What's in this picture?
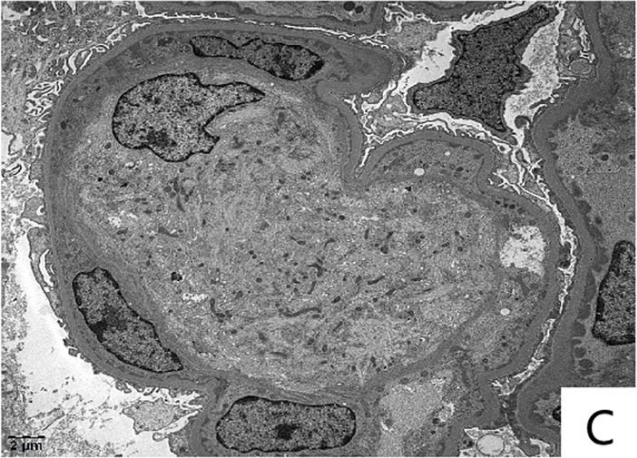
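Glomerular capillary loop whose lumen is filled by a large cell, a monocyte/macrophage, with abundant finely fibrillar, swirled cytoplasm and an irregular indented nucleus at upper left. The loop is bounded by a broad grey basement membrane that is thickened in segments. Several elongated dark nuclei lie at the periphery of the loop. Podocyte foot processes line the outer surface of the basement membrane at the upper right.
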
